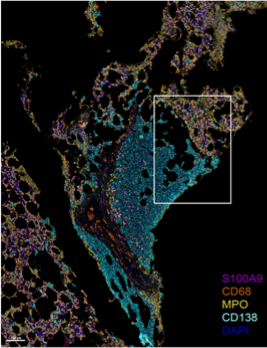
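Bone marrow section at low power with a large, compact tumor cluster of densely packed cyan-stained cells running diagonally through the middle. The cluster has fairly sharp, irregular borders and is traversed by a few darker orange-tinged strands. Around it lies a looser, lace-like marrow network of many small cells stained yellow, magenta and orange. This network frames numerous rounded black empty spaces of varying size. Scattered orange cells are also seen near and within the cyan cluster, while yellow and magenta cells lie mostly in the surrounding network.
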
